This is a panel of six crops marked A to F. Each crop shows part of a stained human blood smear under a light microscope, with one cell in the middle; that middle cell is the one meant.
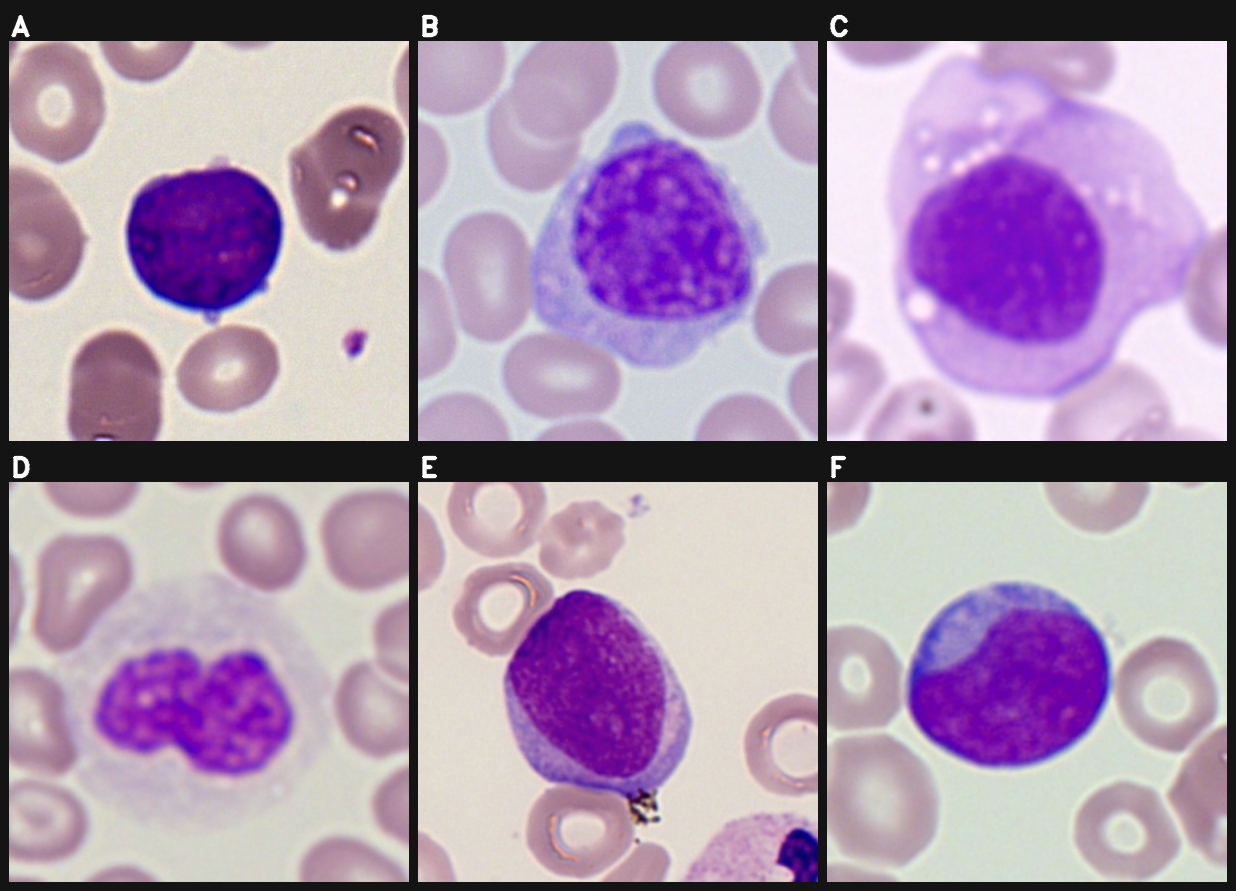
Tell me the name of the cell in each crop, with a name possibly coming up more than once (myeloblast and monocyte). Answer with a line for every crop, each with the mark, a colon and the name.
A: myeloblast
B: monocyte
C: monocyte
D: monocyte
E: myeloblast
F: myeloblast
